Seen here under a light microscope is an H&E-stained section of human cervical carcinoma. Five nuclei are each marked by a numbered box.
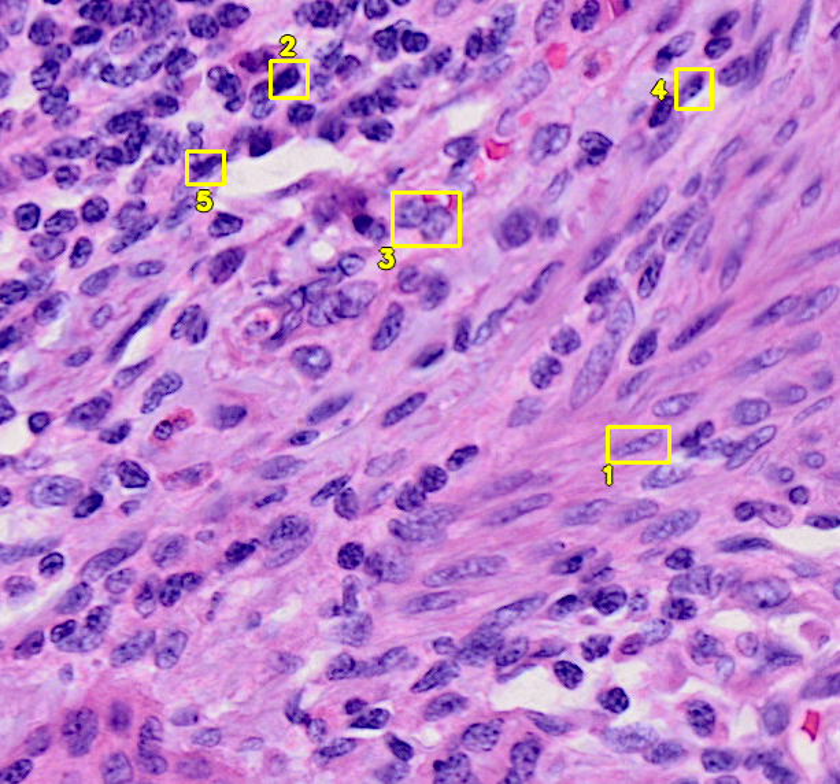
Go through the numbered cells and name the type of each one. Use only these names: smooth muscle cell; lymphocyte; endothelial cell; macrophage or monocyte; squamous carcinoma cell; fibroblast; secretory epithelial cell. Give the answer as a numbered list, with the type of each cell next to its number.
1. smooth muscle cell
2. lymphocyte
3. endothelial cell
4. lymphocyte
5. lymphocyte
